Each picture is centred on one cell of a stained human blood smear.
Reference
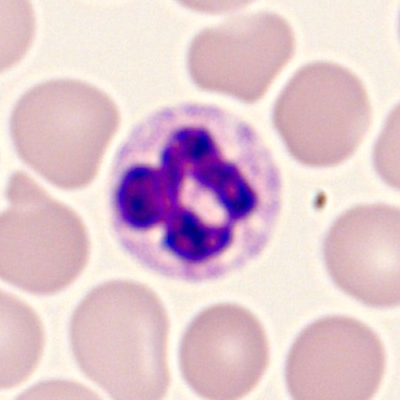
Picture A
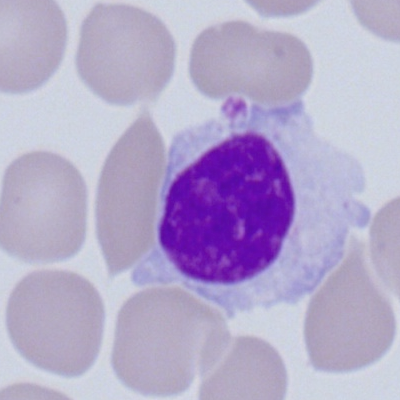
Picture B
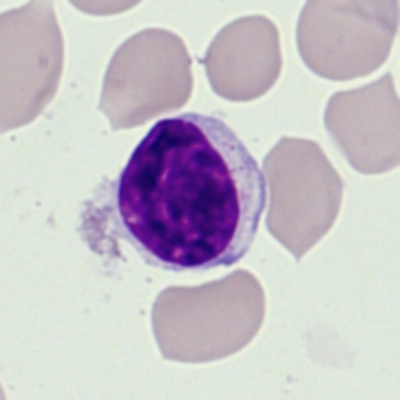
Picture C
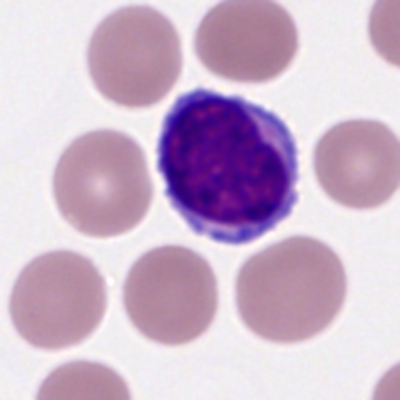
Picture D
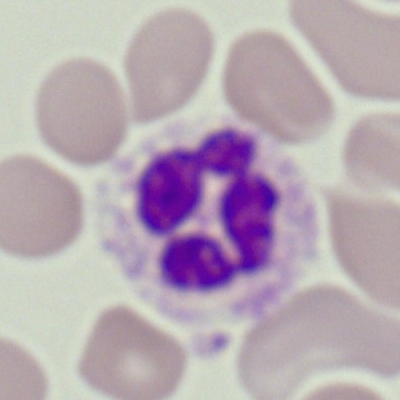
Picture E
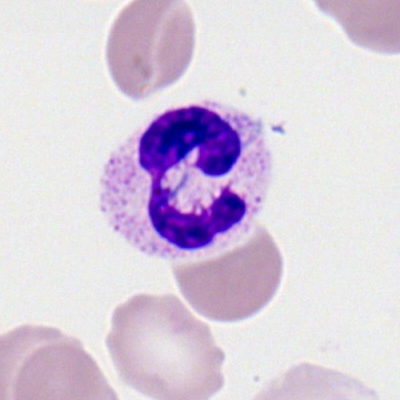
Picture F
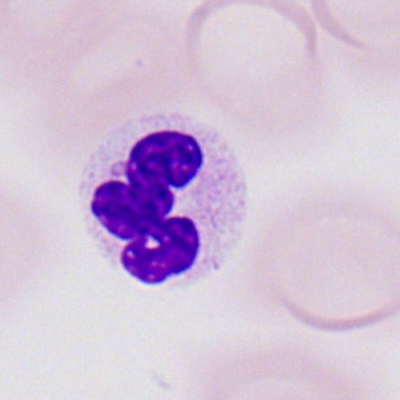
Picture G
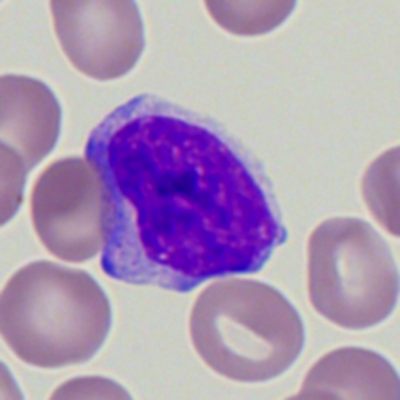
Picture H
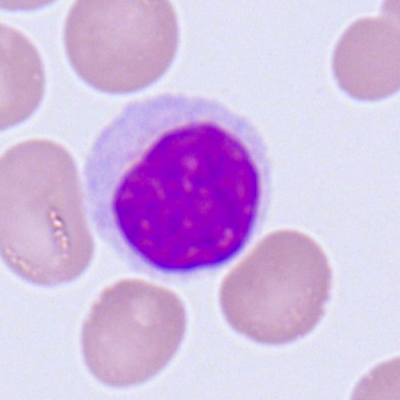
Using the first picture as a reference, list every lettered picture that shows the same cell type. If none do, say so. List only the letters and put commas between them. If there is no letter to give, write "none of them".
D, E, F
